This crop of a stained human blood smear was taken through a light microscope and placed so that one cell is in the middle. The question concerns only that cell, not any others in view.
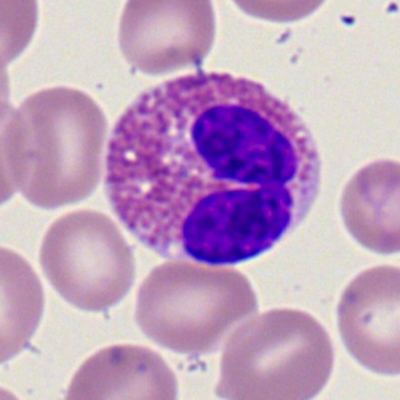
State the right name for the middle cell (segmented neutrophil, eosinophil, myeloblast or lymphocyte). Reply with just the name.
eosinophil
